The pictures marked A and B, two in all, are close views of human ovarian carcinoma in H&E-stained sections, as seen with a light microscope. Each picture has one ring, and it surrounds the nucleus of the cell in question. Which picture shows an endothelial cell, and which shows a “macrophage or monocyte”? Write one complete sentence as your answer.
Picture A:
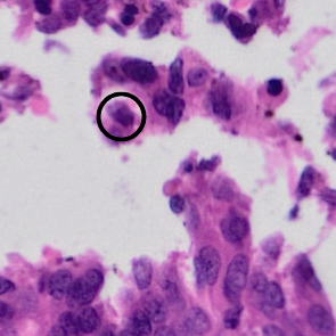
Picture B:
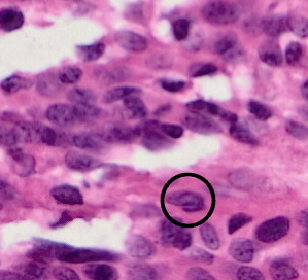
Picture A is of a “macrophage or monocyte”, and picture B is of an endothelial cell.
